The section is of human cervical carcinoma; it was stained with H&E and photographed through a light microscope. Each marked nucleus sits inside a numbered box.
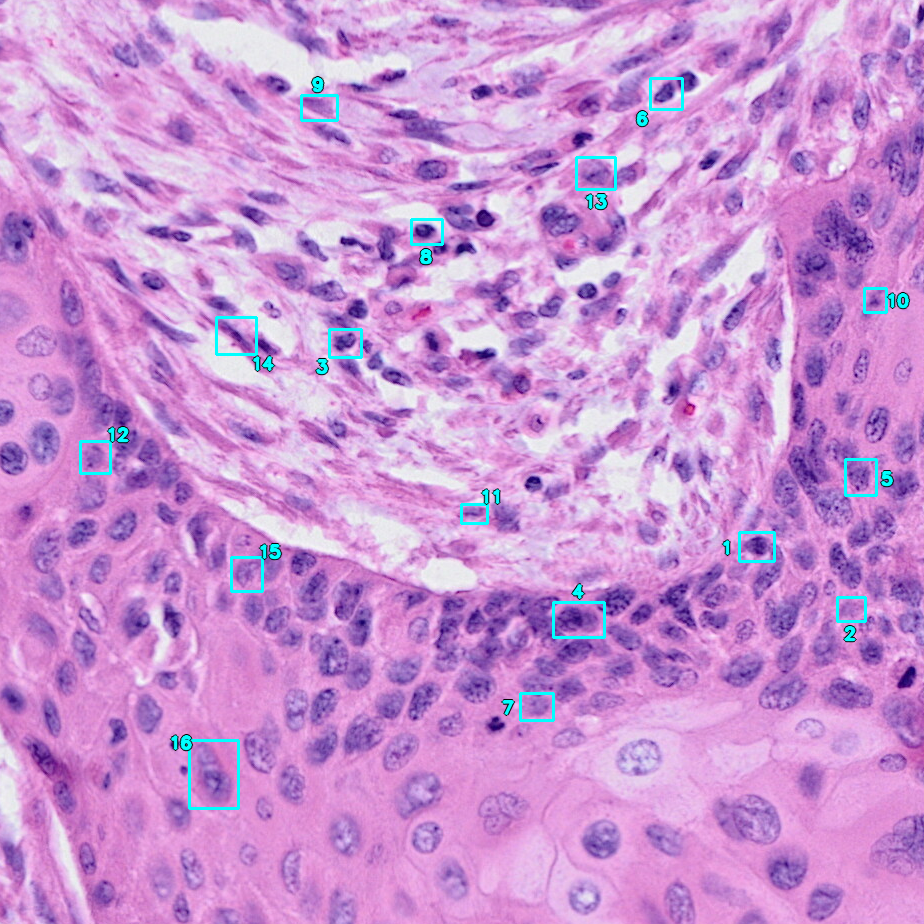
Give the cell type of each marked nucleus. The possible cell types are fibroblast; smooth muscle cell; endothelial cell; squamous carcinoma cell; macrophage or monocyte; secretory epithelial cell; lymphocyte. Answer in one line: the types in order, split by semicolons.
squamous carcinoma cell; squamous carcinoma cell; lymphocyte; squamous carcinoma cell; squamous carcinoma cell; lymphocyte; squamous carcinoma cell; lymphocyte; fibroblast; squamous carcinoma cell; fibroblast; squamous carcinoma cell; macrophage or monocyte; fibroblast; squamous carcinoma cell; squamous carcinoma cell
